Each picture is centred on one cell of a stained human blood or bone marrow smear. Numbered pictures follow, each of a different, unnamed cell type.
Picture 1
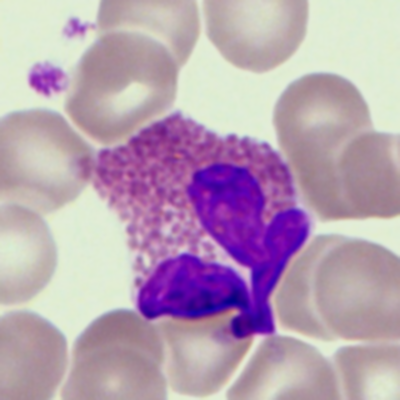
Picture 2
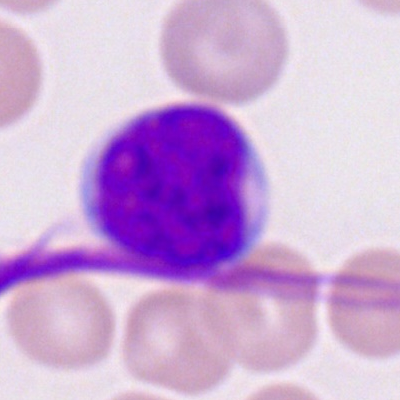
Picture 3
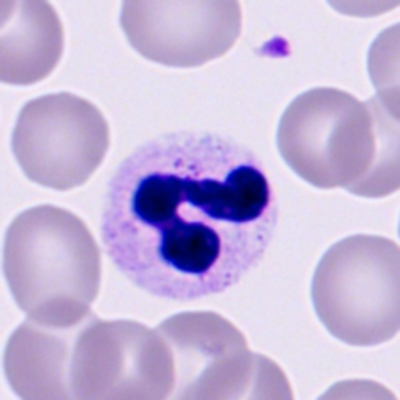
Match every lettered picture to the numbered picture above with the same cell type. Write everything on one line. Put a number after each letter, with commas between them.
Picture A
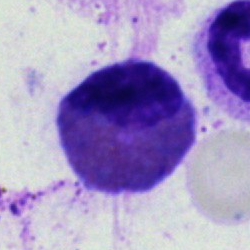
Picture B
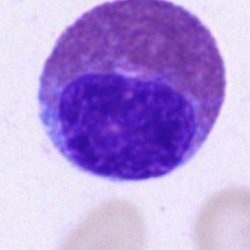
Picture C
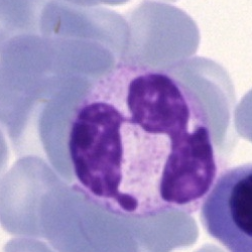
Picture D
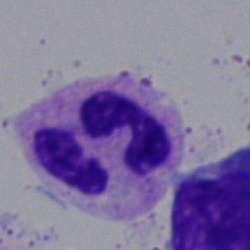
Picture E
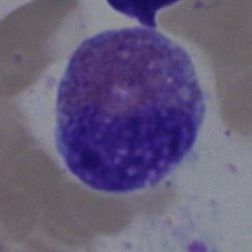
A 1, B 1, C 3, D 3, E 1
